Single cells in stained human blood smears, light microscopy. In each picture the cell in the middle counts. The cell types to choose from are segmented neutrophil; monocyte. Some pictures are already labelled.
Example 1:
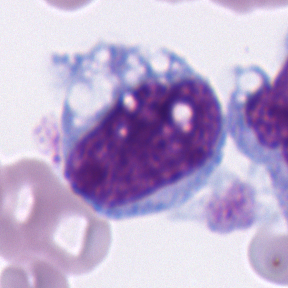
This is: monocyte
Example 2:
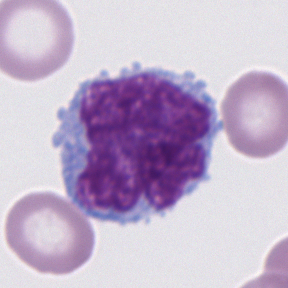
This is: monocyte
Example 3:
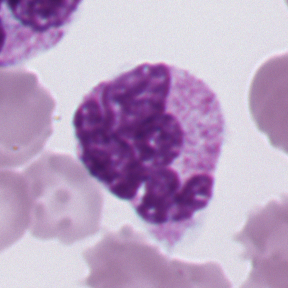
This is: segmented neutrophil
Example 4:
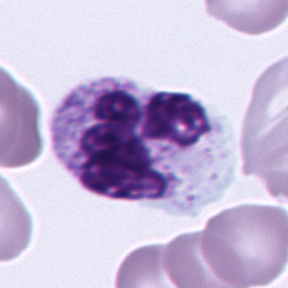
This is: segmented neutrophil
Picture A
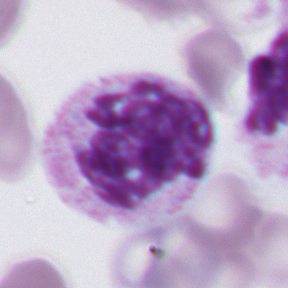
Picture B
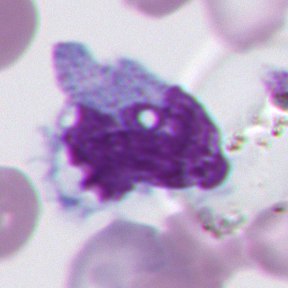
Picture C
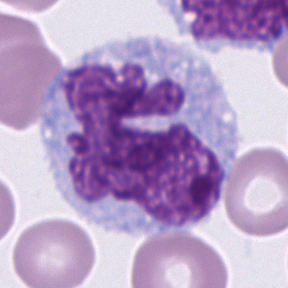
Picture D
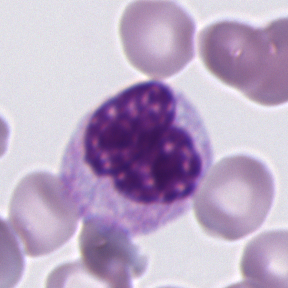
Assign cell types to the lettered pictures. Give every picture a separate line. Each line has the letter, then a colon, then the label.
A: segmented neutrophil
B: monocyte
C: monocyte
D: segmented neutrophil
